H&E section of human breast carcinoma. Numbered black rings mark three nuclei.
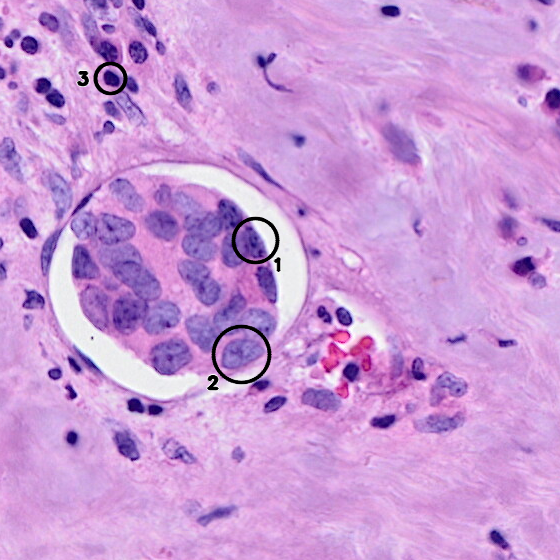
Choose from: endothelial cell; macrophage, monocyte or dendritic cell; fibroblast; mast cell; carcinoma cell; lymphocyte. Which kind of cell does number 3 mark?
lymphocyte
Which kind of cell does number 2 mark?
carcinoma cell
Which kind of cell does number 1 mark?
carcinoma cell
